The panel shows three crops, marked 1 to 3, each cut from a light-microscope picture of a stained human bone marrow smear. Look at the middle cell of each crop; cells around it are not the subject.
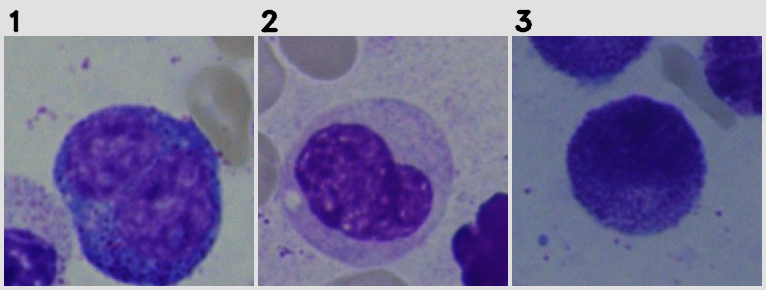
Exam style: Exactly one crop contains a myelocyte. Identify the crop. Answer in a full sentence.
Crop 3, of the crops presented, is the one showing a myelocyte.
